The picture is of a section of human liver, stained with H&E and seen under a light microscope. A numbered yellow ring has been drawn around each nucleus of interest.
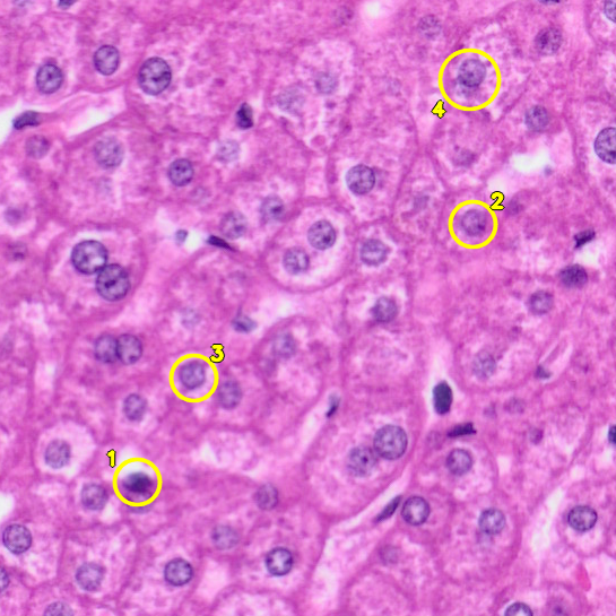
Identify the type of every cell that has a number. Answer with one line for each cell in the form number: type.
1: endothelial cell
2: hepatocyte
3: hepatocyte
4: hepatocyte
